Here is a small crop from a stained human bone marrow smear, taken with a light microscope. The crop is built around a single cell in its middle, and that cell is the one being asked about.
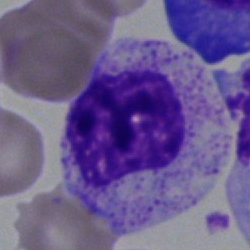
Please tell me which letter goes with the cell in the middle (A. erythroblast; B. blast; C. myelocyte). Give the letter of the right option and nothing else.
C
